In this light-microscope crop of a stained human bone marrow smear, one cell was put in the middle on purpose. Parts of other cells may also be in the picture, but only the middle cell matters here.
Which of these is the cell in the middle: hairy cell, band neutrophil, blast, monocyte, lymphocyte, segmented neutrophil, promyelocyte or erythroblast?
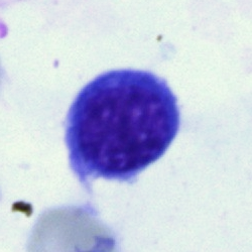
erythroblast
